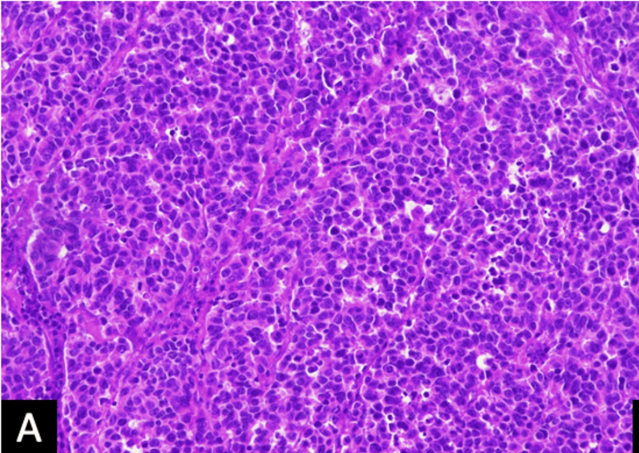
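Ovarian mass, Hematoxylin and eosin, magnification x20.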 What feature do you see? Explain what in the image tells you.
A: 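Solid proliferation. Tumour cells form solid sheets without glands or lumens.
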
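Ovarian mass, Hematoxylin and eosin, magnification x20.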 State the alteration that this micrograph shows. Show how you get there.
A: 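Nuclei stain deep purple and are crowded. Nuclei vary in size and shape. Very little cytoplasm is visible around each nucleus.
Hence: atypical hyperchromatic nuclei and scant cytoplasm.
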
